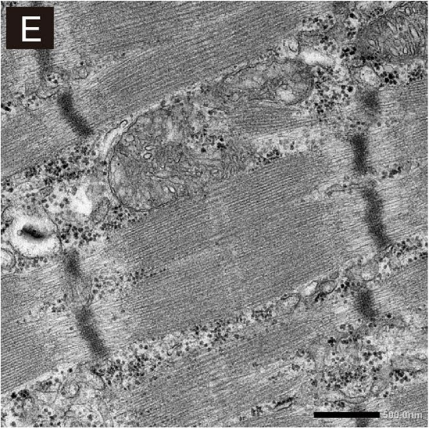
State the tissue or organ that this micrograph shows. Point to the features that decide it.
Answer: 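Muscle fibers. Parallel bundles of fine filaments run diagonally across the field. Dark transverse bands cross the filament bundles at regular intervals. Mitochondria and dark granules lie between the bundles.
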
